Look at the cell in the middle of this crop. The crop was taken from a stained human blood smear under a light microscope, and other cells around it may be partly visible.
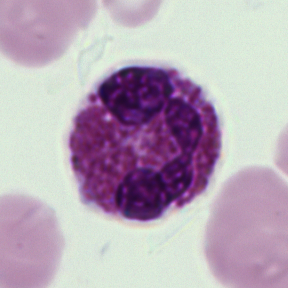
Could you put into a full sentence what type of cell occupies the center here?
Within this crop, an eosinophil occupies the central position.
